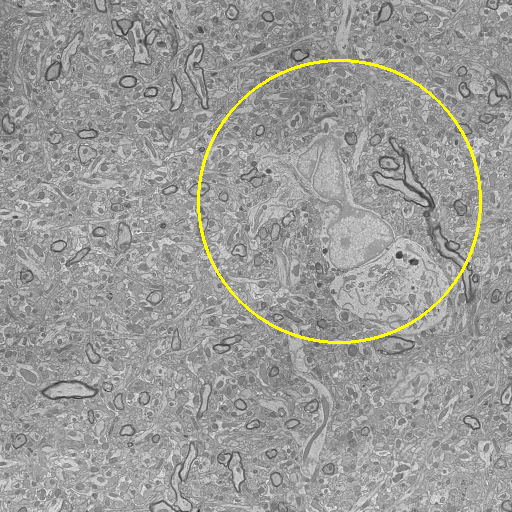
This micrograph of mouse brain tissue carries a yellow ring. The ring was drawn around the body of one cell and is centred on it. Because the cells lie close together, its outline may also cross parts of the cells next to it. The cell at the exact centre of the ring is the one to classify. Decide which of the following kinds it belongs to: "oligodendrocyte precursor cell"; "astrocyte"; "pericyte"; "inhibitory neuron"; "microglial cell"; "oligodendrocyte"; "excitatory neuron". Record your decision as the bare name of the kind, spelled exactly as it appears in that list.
oligodendrocyte precursor cell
